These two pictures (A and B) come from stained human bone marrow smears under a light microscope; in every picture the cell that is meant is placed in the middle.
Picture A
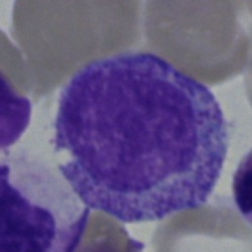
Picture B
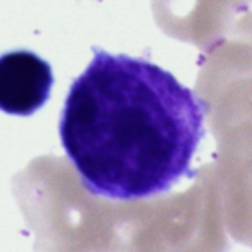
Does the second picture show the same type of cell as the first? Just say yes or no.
no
